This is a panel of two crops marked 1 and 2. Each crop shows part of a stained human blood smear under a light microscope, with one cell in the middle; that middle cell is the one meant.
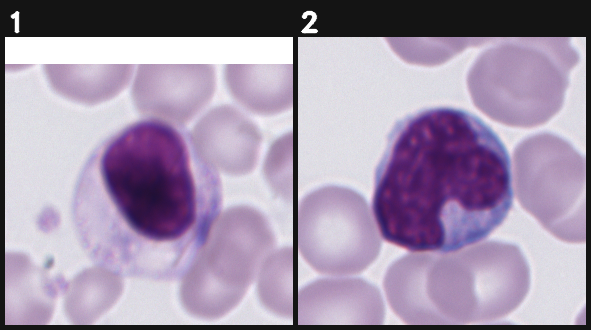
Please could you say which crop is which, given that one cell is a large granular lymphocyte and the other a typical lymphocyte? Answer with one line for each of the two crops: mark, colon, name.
1: large granular lymphocyte
2: typical lymphocyte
